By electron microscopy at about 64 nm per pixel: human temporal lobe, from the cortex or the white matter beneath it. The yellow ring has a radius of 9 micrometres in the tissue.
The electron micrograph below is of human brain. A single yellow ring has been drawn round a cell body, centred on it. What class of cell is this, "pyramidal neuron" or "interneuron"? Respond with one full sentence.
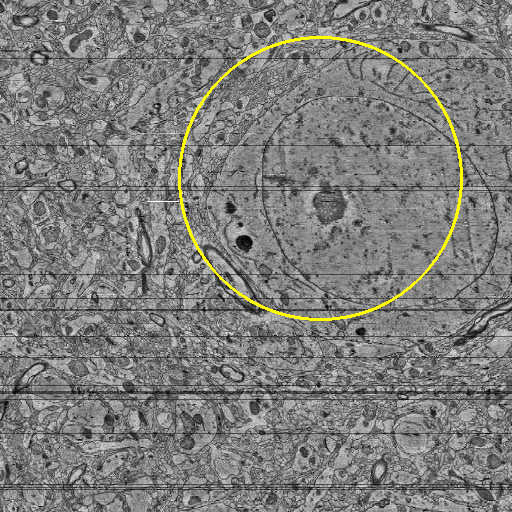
In the micrograph, the cell centred inside the yellow ring is a pyramidal neuron.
